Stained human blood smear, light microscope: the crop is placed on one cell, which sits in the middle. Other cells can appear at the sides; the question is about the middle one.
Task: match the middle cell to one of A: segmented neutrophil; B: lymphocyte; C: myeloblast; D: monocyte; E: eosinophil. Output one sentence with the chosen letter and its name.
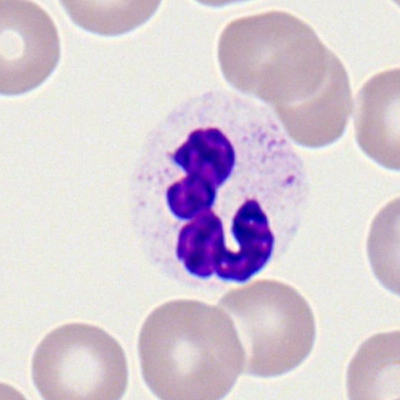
Since the cell in the middle is a segmented neutrophil, option A is correct.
